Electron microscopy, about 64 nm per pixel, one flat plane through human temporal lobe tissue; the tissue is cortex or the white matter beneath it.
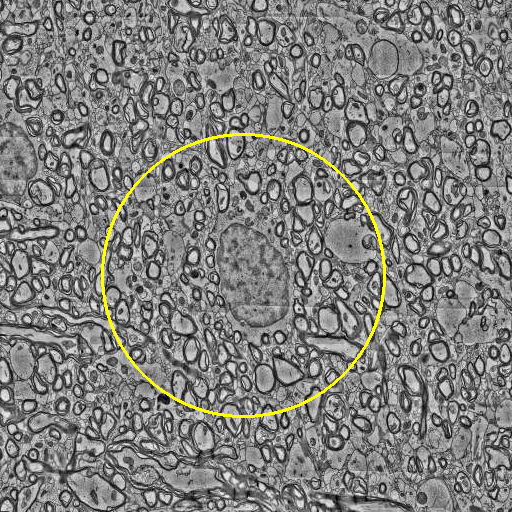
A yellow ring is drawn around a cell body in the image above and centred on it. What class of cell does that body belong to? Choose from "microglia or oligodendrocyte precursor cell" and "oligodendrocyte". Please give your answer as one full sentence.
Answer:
The yellow ring above is centred on the cell body of an oligodendrocyte.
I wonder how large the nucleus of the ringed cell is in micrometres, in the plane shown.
The nucleus of the ringed cell is approximately 7 by 5 micrometres in this plane.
